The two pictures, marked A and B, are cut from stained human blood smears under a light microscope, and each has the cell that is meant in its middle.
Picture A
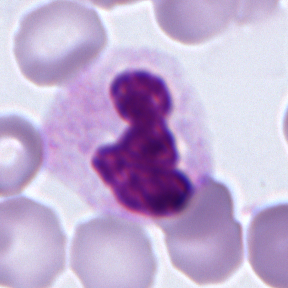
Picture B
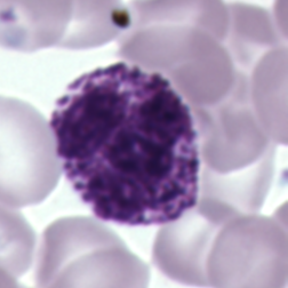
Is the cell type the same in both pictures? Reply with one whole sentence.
No, the types are not the same, since picture A shows a segmented neutrophil and picture B a basophil.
